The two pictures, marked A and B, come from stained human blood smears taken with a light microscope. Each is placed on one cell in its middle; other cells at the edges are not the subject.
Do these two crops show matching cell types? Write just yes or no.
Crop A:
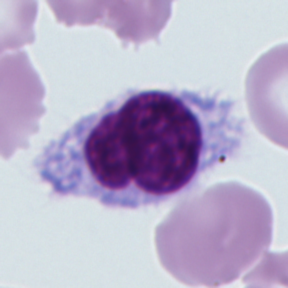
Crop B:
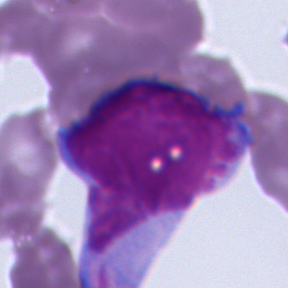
no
